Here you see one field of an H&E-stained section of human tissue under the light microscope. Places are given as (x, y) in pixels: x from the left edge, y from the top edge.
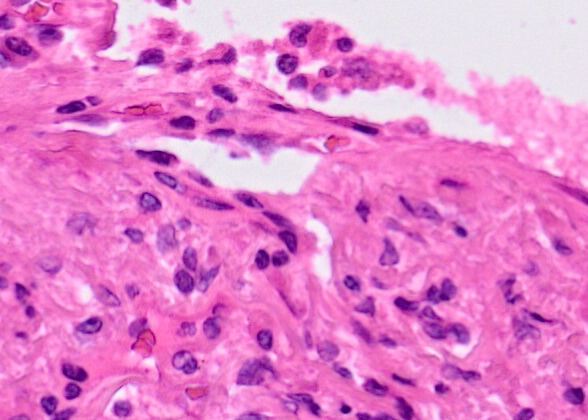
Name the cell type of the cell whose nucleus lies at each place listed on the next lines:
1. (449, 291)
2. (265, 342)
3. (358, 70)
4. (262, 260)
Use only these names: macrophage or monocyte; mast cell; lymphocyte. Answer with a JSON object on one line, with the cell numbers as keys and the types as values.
{"1": "lymphocyte", "2": "mast cell", "3": "macrophage or monocyte", "4": "lymphocyte"}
